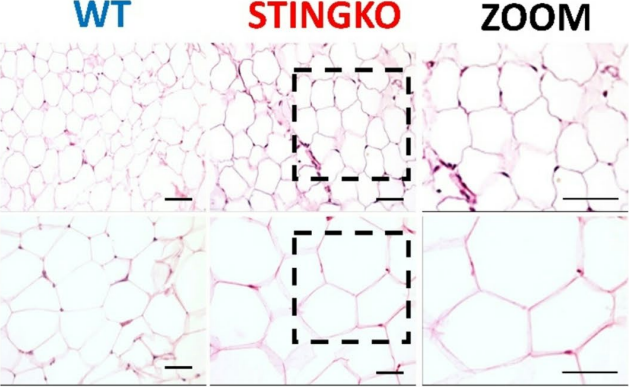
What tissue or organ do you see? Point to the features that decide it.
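Large polygonal cells that look empty inside. Only thin pink rims of cytoplasm between neighbouring cells. Cells packed together like a honeycomb with few nuclei.
Hence: adipose tissue.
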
